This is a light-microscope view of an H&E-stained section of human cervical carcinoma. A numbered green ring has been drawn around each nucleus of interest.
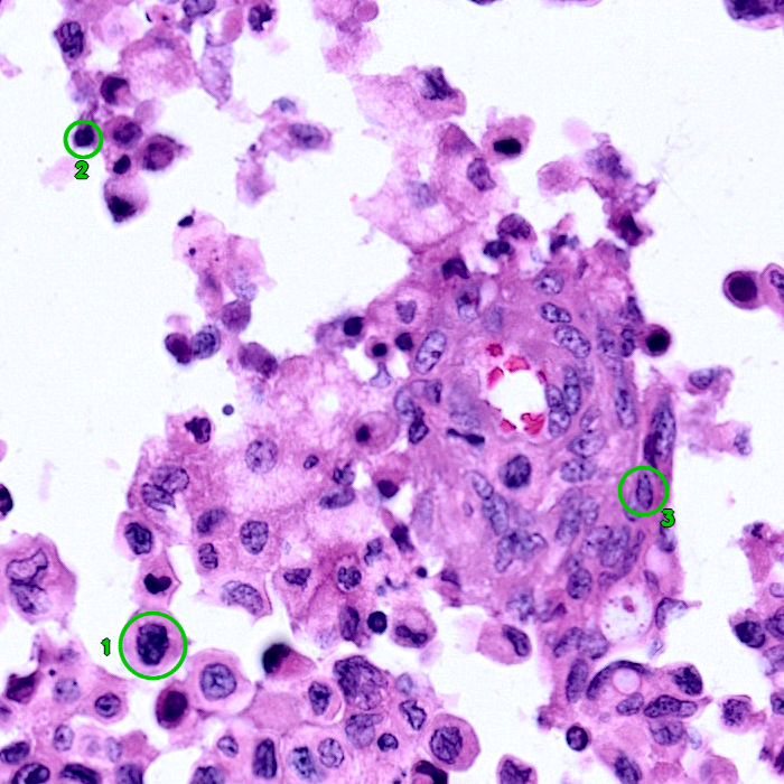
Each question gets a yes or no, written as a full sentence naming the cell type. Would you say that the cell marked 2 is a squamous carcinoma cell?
No, the cell with number 2 is not a squamous carcinoma cell but a lymphocyte.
